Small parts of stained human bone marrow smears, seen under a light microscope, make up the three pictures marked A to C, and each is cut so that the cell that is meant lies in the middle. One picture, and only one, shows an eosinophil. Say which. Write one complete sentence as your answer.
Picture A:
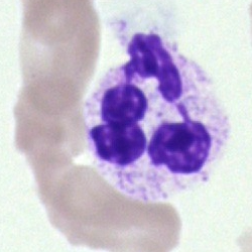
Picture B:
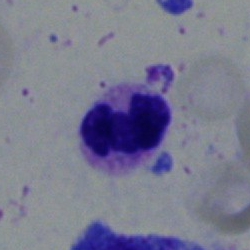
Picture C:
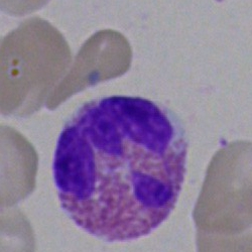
The picture with the eosinophil is C.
